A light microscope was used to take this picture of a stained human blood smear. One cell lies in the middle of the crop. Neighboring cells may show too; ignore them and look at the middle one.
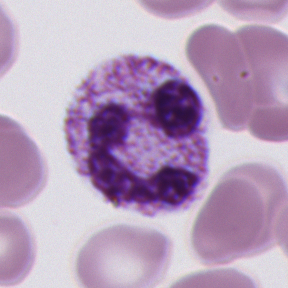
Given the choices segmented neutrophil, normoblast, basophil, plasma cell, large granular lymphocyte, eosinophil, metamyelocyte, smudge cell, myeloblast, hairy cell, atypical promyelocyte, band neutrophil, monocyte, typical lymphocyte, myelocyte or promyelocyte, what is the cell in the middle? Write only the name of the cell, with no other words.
segmented neutrophil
